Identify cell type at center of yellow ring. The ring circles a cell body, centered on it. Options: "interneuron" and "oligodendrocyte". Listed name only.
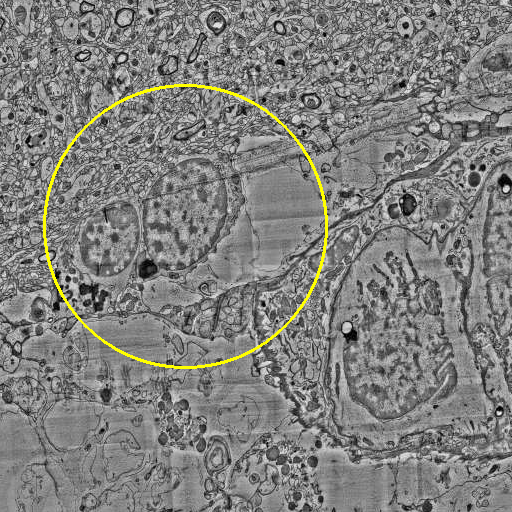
oligodendrocyte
